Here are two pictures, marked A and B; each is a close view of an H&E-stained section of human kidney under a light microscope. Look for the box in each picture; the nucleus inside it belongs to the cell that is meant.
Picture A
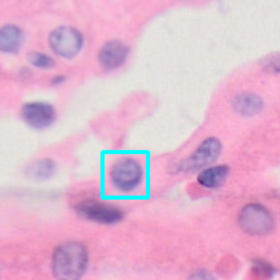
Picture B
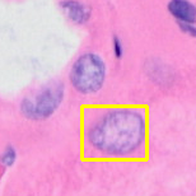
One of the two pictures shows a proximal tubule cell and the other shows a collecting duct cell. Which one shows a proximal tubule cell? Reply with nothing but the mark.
B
